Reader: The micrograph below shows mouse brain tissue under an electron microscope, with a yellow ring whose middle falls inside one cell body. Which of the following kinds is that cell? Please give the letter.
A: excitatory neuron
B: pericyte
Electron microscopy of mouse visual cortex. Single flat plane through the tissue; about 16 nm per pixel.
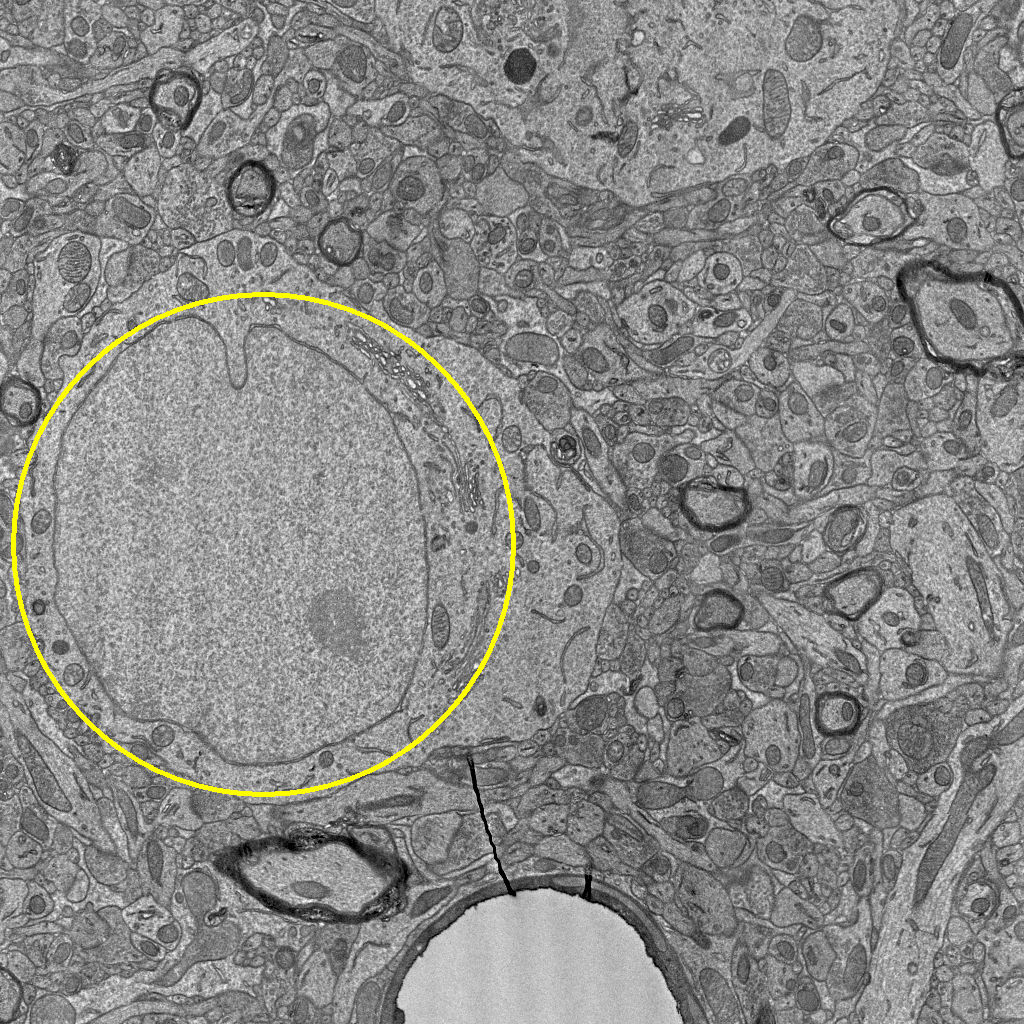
A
